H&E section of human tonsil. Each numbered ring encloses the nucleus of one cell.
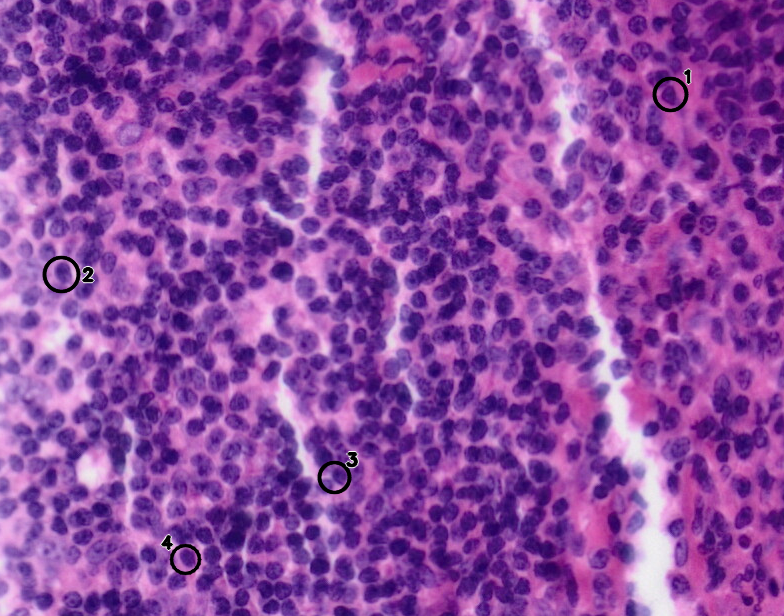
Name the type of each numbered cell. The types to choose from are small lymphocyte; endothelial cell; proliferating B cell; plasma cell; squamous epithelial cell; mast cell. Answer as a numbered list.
1. plasma cell
2. small lymphocyte
3. small lymphocyte
4. small lymphocyte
